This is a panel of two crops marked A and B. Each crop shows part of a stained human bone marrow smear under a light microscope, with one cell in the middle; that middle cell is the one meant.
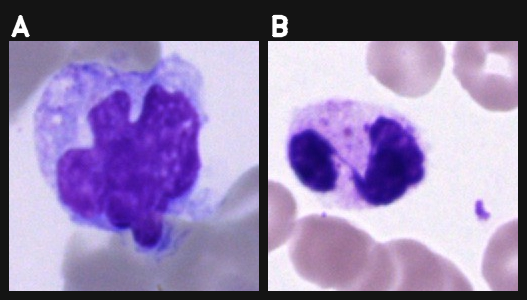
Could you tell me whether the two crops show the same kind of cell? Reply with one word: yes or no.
no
